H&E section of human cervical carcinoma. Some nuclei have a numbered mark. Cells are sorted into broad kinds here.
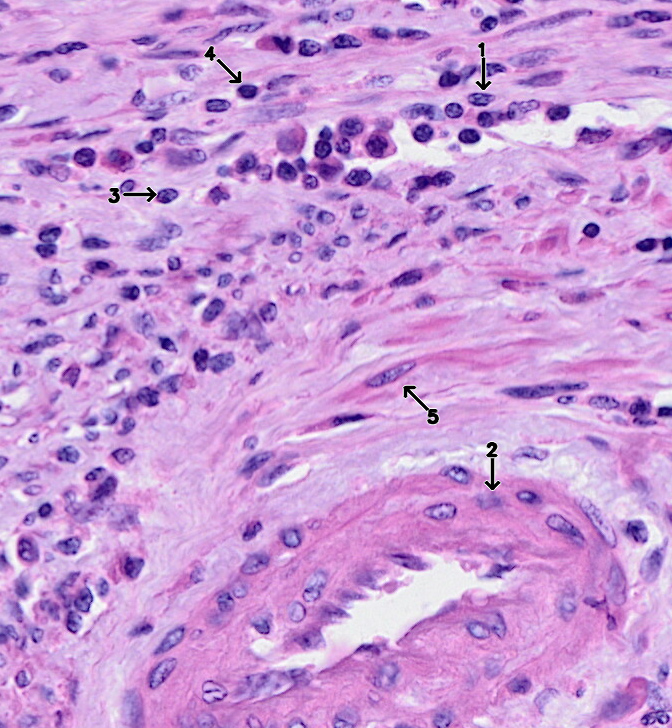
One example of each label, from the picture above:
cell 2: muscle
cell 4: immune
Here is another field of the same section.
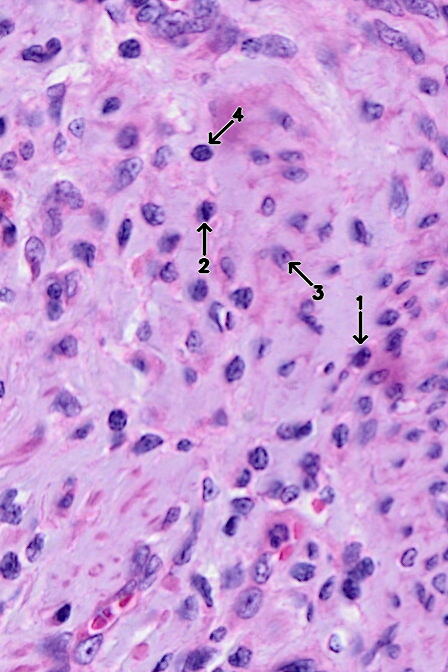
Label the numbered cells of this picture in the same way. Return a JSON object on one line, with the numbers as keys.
{"1": "immune", "2": "immune", "3": "muscle", "4": "immune"}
